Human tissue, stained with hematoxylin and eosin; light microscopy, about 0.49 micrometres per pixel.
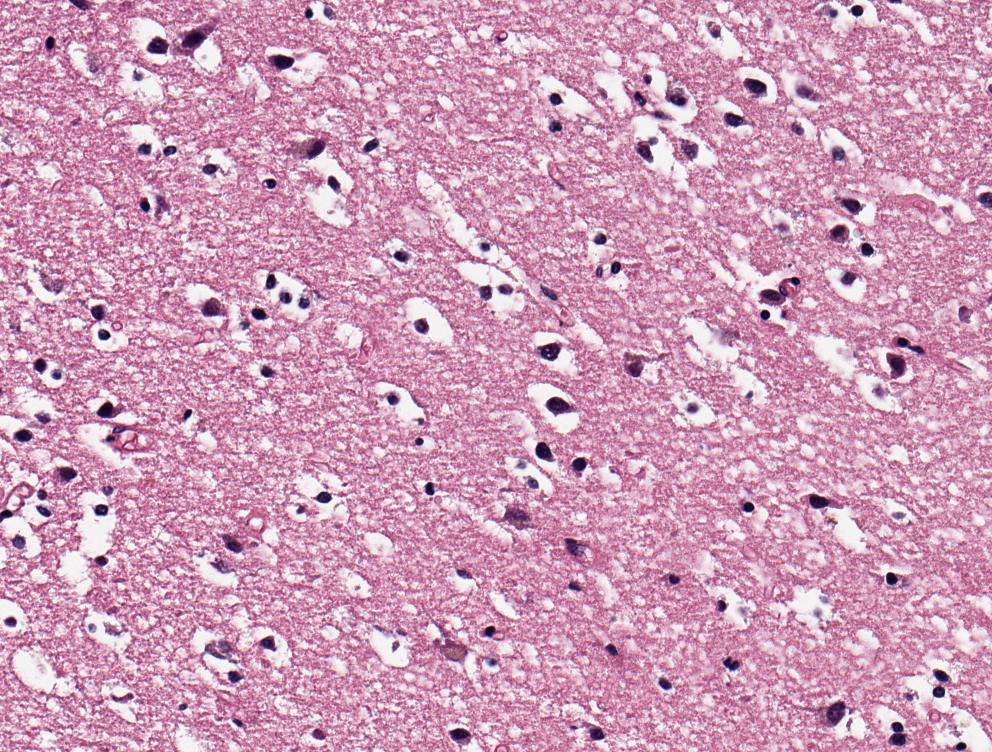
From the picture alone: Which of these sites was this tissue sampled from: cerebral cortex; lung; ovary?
cerebral cortex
